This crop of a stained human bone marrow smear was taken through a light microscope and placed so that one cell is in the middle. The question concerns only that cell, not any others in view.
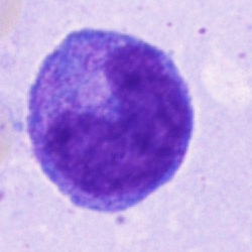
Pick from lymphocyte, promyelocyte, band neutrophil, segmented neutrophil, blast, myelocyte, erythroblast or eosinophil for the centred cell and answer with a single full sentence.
Centred in the crop is a promyelocyte.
